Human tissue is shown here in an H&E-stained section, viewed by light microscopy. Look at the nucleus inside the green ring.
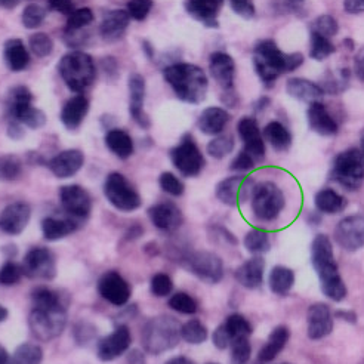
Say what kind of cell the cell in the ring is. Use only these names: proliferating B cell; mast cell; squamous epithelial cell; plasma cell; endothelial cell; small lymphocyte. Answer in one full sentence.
Assigned to a cell type, the cell in the ring is a proliferating B cell.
